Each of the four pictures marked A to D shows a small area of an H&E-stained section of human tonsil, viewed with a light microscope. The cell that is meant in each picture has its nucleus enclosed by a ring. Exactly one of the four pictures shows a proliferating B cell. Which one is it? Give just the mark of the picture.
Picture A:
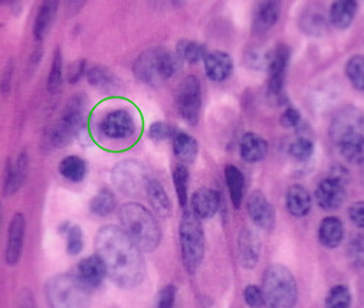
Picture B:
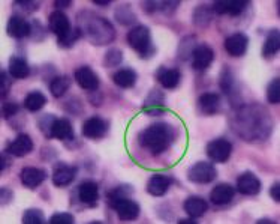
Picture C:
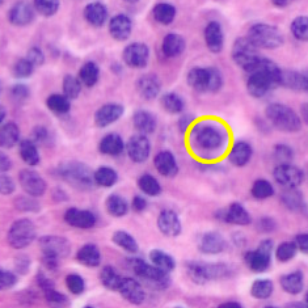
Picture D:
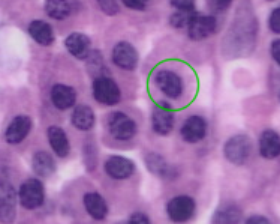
B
